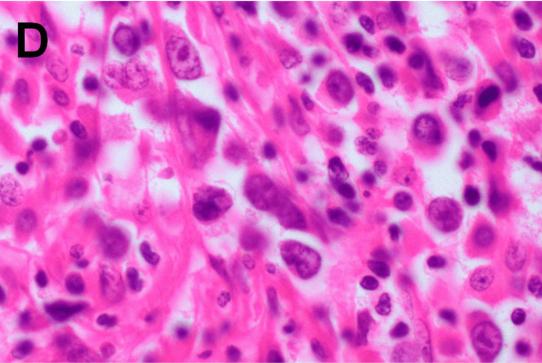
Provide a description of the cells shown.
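The cells have moderate amounts of pink cytoplasm and vary in size and shape. Small, dark, round nuclei of inflammatory cells are scattered among them, and thin pink fibrous strands run between the tumor cells.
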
